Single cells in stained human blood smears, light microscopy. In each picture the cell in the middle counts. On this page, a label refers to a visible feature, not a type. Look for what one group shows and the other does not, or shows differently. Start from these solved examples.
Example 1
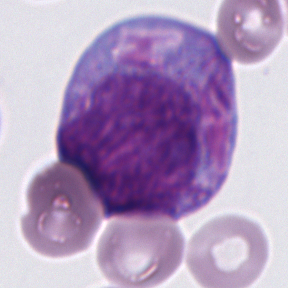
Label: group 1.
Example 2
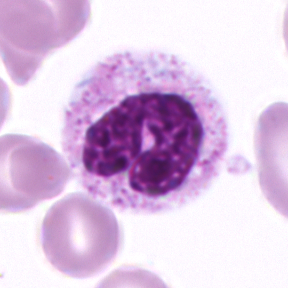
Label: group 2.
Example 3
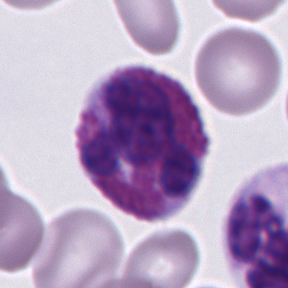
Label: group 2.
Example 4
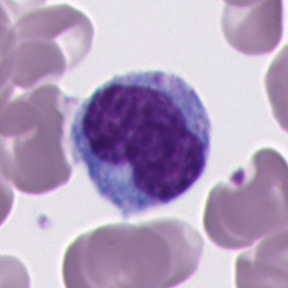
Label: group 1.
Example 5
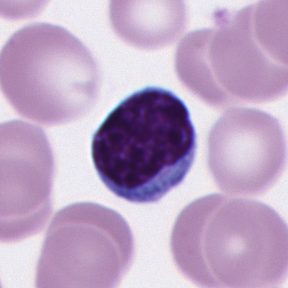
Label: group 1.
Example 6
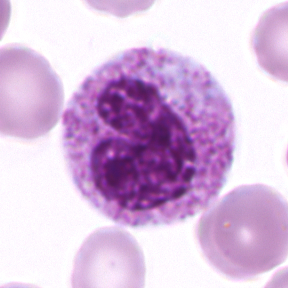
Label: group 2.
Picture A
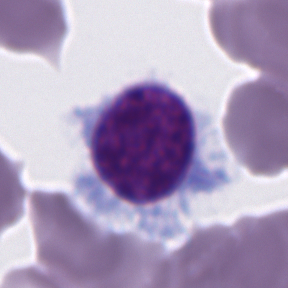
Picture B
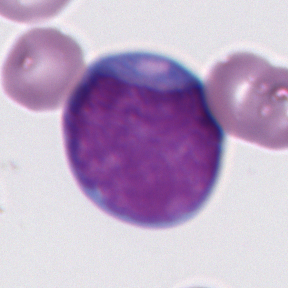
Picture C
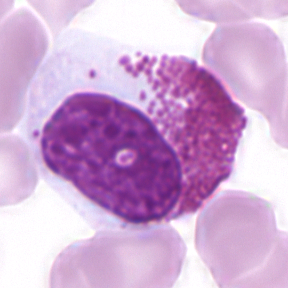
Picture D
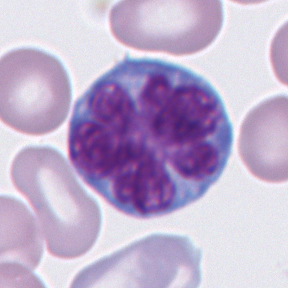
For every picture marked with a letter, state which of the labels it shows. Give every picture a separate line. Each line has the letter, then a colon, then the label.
A: group 1.
B: group 1.
C: group 1.
D: group 2.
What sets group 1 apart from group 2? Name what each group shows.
group 1, single compact nucleus; group 2, lobed nucleus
